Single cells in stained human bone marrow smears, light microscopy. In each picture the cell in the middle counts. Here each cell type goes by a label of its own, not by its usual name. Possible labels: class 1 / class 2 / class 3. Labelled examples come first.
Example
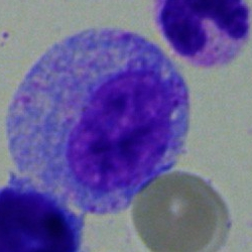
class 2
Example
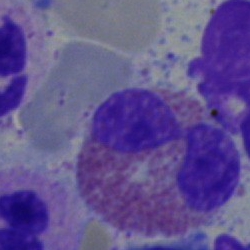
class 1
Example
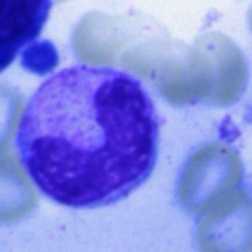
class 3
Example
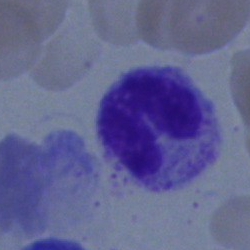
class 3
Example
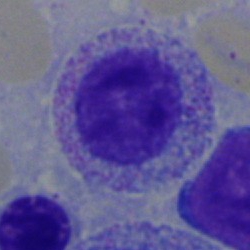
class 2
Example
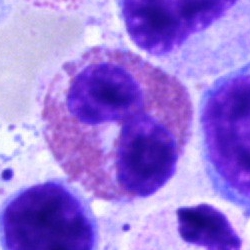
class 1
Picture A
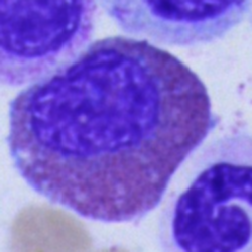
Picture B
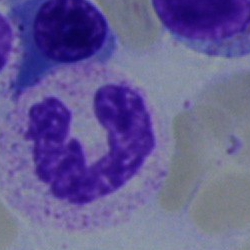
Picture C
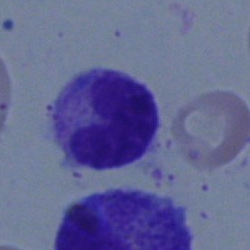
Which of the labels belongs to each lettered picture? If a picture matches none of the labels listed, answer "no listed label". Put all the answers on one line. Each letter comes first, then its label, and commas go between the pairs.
A class 1, B class 3, C class 3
